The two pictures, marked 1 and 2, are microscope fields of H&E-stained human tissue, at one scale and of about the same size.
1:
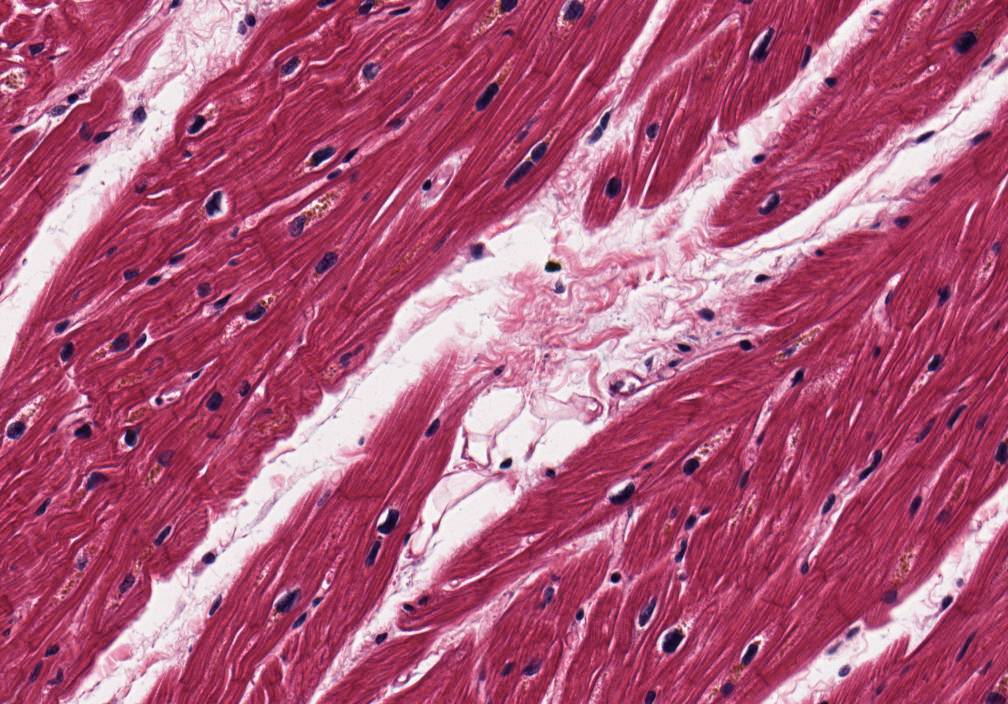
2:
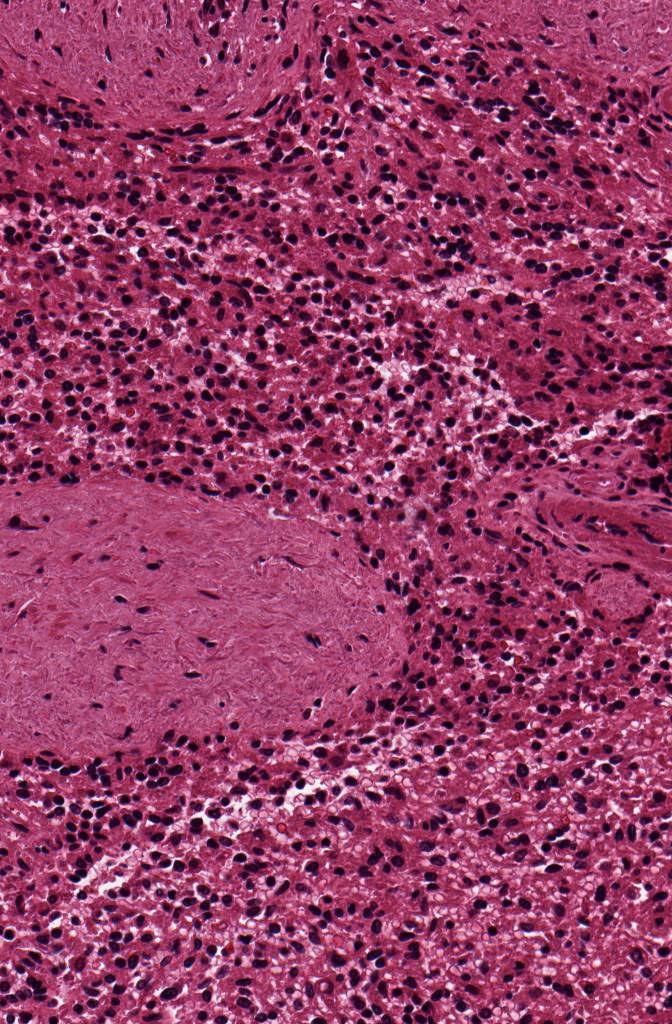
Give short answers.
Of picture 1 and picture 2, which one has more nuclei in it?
2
